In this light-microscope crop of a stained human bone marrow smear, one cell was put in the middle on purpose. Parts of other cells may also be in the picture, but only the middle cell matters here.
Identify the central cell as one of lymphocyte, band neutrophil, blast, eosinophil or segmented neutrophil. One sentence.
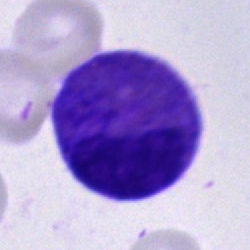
Seen at the centre of the crop is an eosinophil.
